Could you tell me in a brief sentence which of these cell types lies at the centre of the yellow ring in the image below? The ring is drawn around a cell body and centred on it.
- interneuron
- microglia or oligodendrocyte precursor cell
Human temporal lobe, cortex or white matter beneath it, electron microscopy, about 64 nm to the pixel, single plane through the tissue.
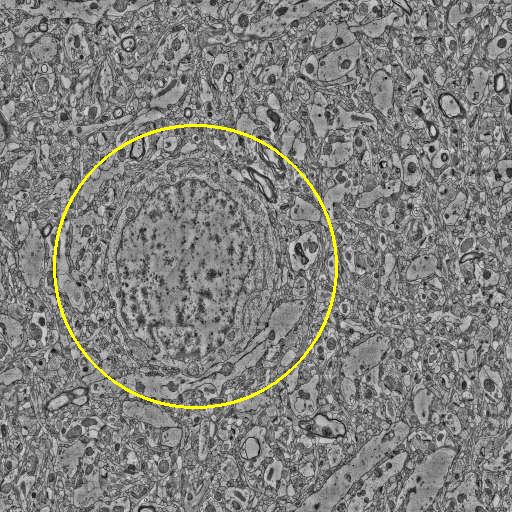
The cell centred in the ring is an interneuron.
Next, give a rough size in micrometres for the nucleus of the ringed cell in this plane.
The nucleus measures about 11 by 9 micrometres in this plane.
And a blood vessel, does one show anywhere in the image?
No, none appears.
